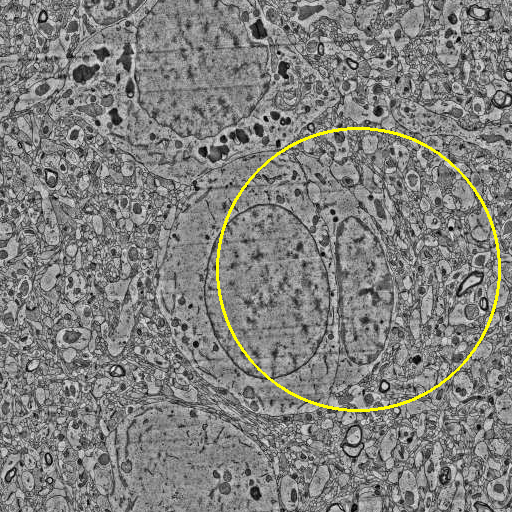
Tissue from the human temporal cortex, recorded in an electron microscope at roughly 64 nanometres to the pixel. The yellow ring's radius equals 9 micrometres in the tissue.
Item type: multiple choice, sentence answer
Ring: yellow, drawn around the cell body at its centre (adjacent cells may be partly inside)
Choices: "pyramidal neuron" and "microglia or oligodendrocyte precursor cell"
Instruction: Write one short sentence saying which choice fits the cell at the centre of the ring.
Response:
This ring is drawn around a microglial cell or oligodendrocyte precursor cell.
